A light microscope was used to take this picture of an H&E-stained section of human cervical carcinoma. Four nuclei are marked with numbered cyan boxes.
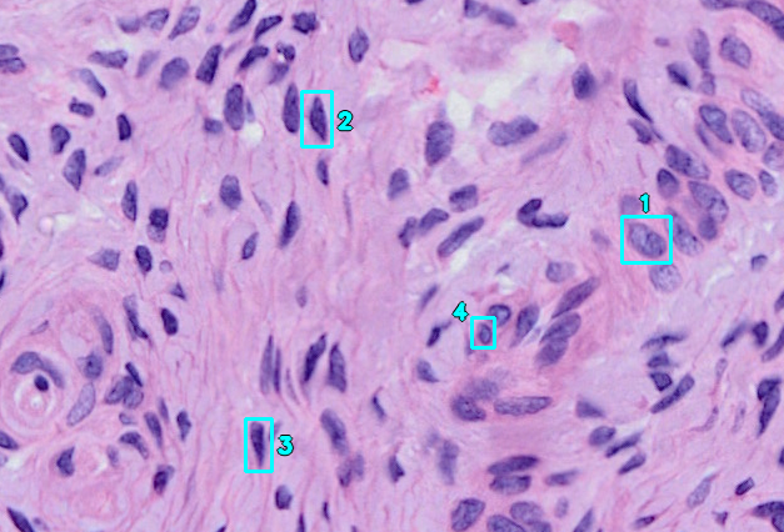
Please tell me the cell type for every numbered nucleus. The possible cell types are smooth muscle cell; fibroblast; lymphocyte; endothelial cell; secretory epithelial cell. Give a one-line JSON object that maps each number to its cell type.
{"1": "smooth muscle cell", "2": "fibroblast", "3": "fibroblast", "4": "smooth muscle cell"}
